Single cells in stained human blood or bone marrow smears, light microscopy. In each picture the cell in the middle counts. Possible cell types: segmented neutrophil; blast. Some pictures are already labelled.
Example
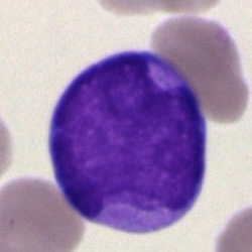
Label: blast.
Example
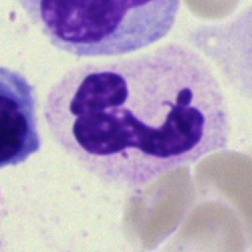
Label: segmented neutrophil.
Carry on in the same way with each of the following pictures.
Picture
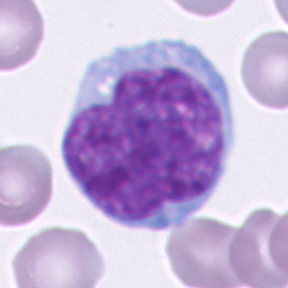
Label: blast.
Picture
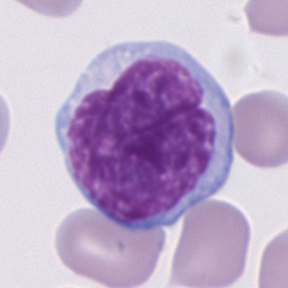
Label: blast.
